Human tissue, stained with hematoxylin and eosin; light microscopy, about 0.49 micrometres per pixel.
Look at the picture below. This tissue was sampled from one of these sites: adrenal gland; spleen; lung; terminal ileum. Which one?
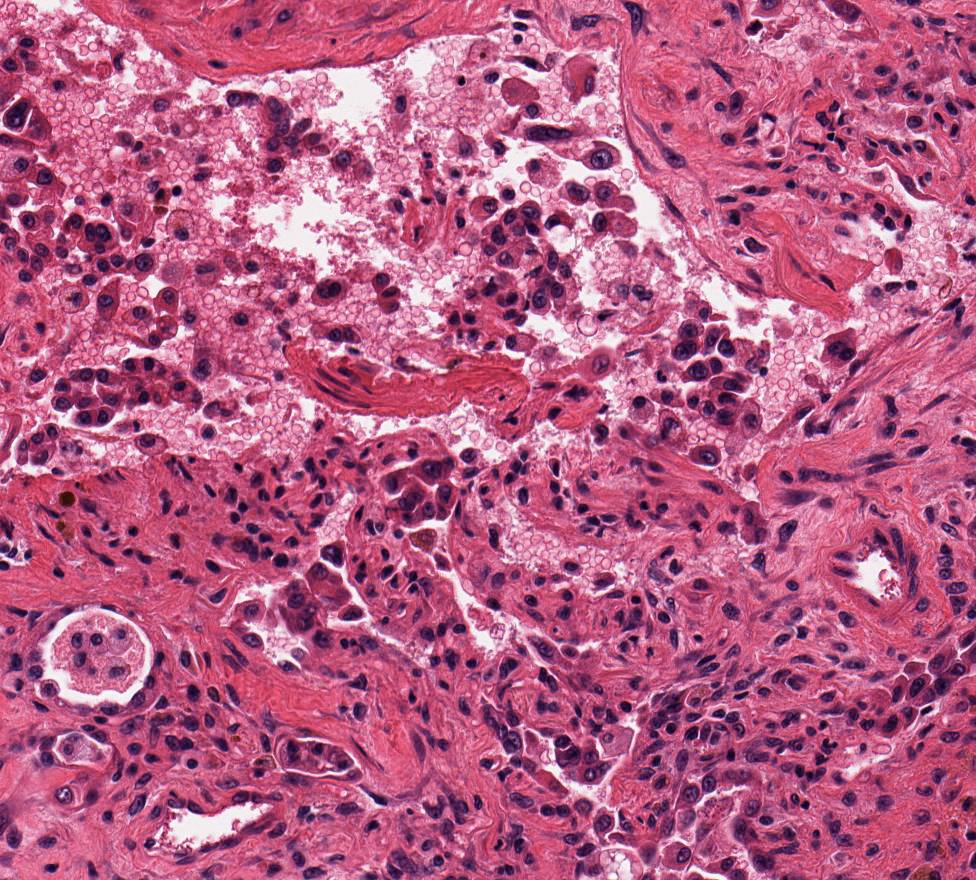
lung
